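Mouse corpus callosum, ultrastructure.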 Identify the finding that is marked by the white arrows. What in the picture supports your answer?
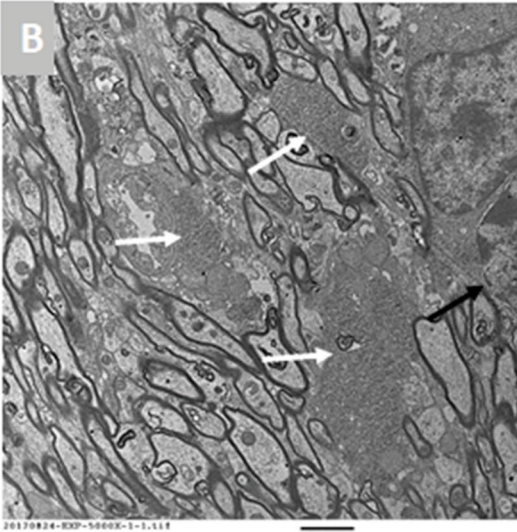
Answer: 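Glycogen accumulation. The arrows point to patches of fine, densely granular material. The granular patches lie between axons surrounded by dark myelin rings.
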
